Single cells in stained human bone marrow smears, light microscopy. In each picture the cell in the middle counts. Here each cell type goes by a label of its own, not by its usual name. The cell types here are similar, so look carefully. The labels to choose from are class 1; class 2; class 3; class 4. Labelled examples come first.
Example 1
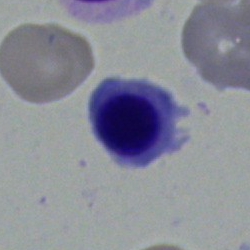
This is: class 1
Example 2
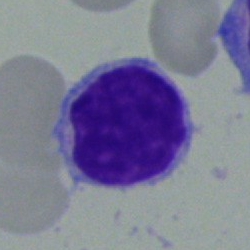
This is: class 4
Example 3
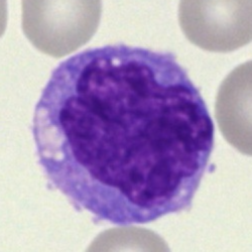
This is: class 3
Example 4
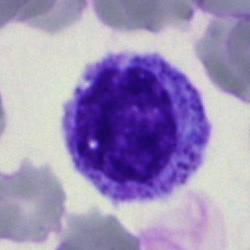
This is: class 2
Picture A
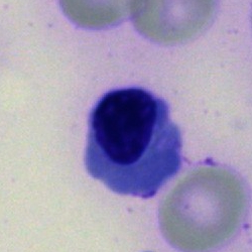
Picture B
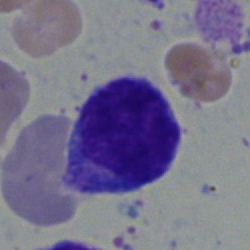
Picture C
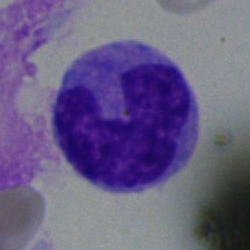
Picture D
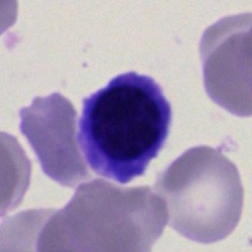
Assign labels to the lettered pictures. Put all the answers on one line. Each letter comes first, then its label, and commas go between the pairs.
A class 1, B class 4, C class 3, D class 1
